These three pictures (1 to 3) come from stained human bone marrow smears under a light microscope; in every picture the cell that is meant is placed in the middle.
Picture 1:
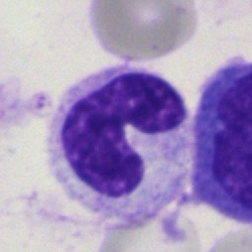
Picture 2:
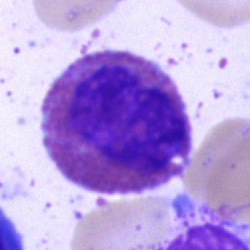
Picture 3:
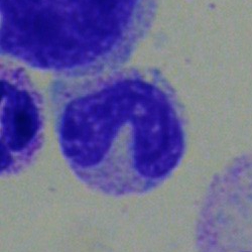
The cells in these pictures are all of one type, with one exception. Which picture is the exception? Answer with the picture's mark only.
2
